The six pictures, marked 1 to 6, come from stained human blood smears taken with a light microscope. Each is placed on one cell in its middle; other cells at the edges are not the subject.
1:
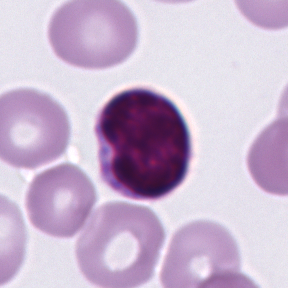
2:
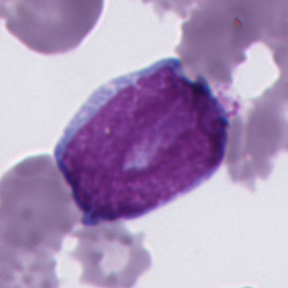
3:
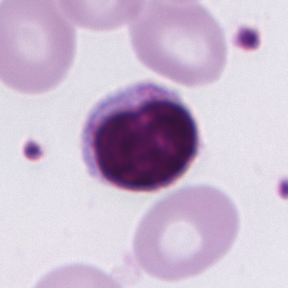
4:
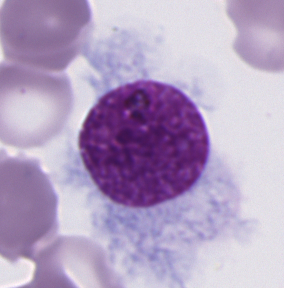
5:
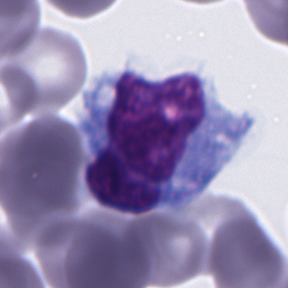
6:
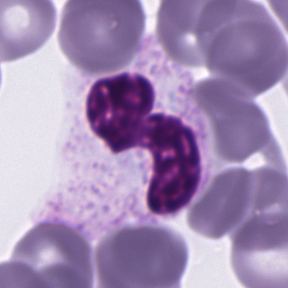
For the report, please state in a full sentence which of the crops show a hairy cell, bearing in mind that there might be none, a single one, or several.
The central cell of crop 4 is a hairy cell; no other crop's central cell is one.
